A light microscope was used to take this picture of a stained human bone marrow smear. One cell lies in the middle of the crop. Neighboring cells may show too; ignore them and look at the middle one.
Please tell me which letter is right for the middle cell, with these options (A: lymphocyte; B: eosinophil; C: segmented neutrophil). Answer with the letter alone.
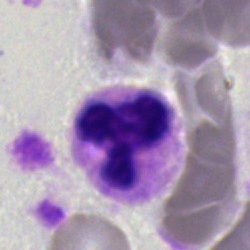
C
